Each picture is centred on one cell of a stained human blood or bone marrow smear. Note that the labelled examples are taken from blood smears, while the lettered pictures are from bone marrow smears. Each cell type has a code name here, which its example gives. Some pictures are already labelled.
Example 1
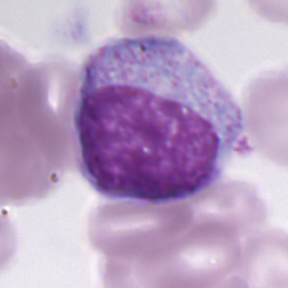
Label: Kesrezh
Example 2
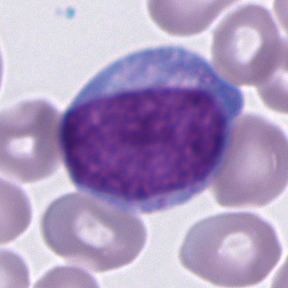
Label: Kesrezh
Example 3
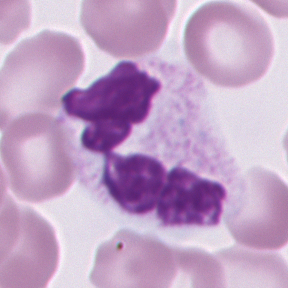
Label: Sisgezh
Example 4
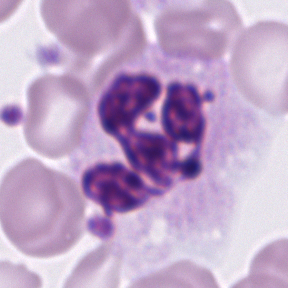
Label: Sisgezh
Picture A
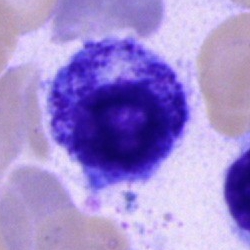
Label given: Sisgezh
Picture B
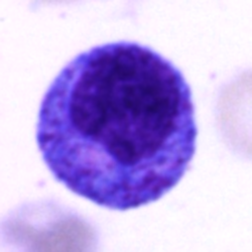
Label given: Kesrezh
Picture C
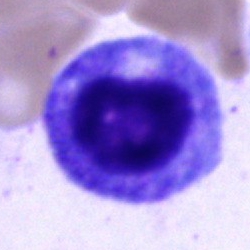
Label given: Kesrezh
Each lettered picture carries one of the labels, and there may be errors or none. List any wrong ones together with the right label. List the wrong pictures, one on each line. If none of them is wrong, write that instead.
A should be Kesrezh, not Sisgezh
